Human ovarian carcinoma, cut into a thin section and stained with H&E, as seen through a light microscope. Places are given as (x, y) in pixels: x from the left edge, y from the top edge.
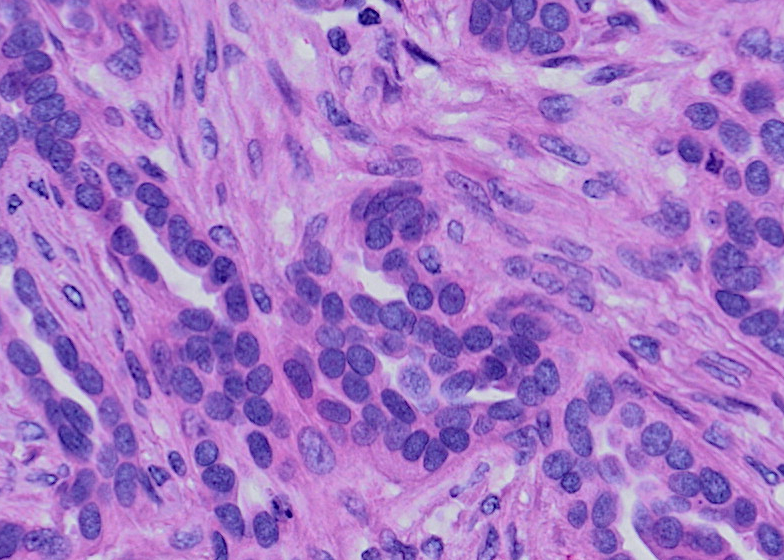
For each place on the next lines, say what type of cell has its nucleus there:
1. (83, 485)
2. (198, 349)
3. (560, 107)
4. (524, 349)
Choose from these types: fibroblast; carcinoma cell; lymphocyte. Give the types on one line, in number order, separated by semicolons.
carcinoma cell; carcinoma cell; fibroblast; carcinoma cell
